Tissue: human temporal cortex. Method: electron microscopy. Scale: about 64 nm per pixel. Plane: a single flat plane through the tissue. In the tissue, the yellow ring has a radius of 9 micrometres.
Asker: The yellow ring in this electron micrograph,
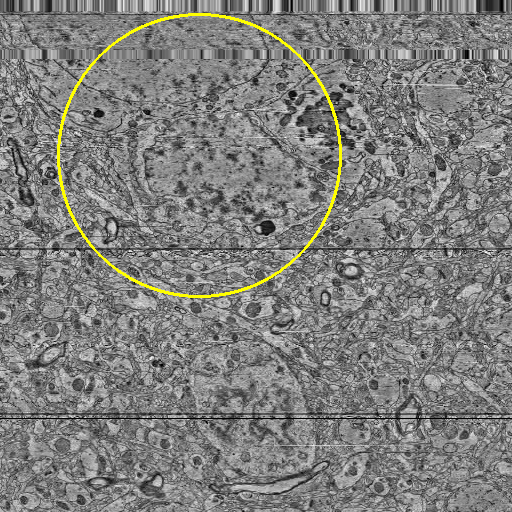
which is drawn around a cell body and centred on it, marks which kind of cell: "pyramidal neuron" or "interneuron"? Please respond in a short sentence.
The marked cell is an interneuron.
